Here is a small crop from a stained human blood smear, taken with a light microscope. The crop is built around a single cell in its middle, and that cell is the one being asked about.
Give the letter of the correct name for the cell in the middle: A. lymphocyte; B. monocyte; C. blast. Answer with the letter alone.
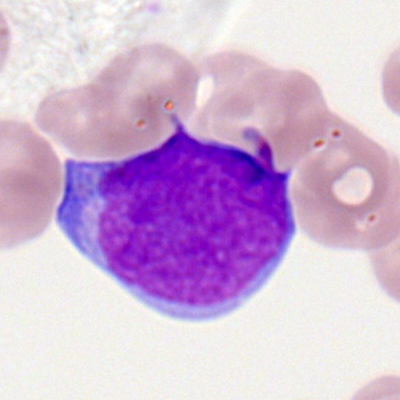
C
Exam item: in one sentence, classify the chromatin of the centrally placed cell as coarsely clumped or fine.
The chromatin remains finely textured, with no coarse clumps to speak of.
